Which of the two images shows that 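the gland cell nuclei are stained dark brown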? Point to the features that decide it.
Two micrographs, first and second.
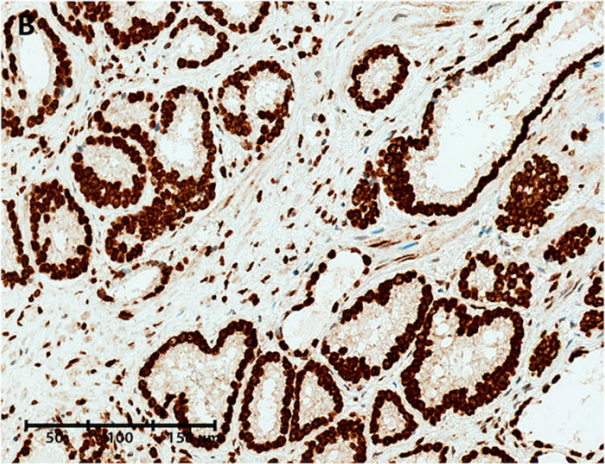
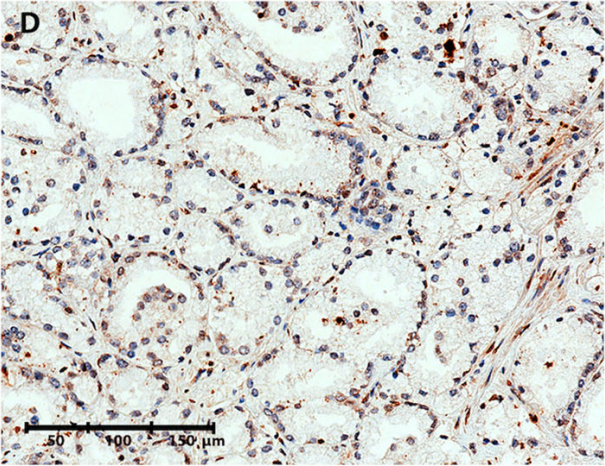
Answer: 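Second image: most gland cell nuclei are blue or only faintly brown. First image: nearly all gland cell nuclei are stained intensely dark brown. That points to this answer: the first image.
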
